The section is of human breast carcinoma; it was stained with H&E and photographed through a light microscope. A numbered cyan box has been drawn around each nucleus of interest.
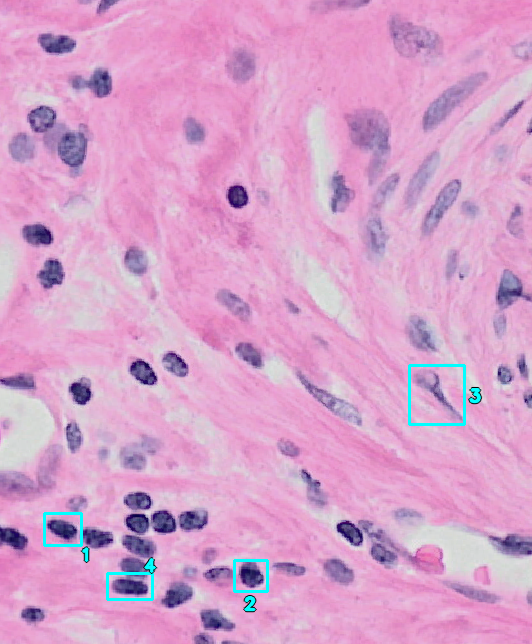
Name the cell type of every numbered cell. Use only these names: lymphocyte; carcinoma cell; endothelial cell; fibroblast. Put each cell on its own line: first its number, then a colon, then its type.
1: lymphocyte
2: lymphocyte
3: fibroblast
4: lymphocyte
